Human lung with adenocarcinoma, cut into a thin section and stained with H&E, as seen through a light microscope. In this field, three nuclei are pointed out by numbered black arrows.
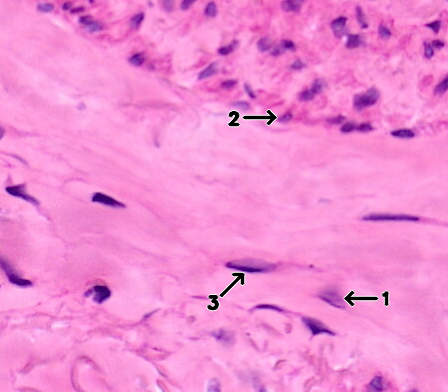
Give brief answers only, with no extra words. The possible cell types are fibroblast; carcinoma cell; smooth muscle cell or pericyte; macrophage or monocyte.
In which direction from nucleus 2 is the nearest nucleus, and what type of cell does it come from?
a smooth muscle cell or pericyte, above and to the right of nucleus 2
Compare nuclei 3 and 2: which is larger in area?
3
